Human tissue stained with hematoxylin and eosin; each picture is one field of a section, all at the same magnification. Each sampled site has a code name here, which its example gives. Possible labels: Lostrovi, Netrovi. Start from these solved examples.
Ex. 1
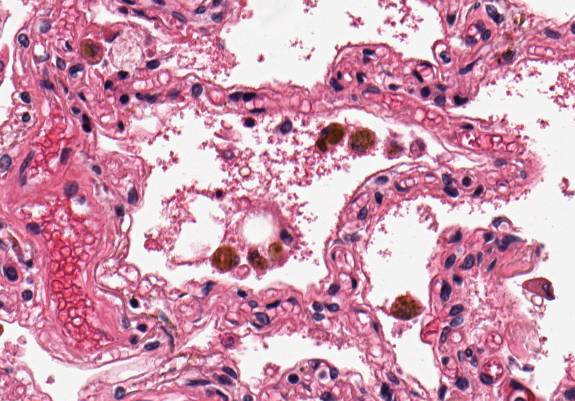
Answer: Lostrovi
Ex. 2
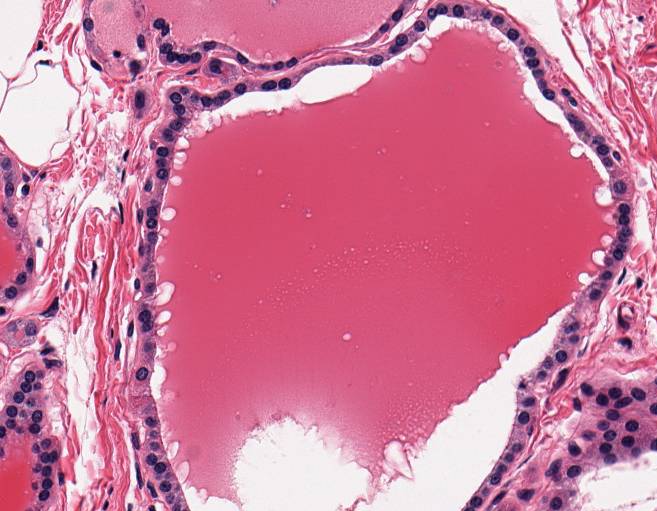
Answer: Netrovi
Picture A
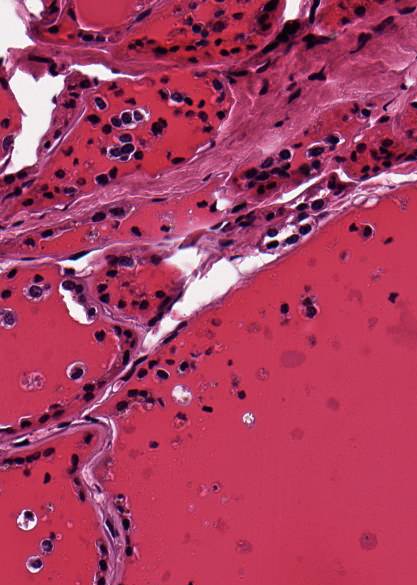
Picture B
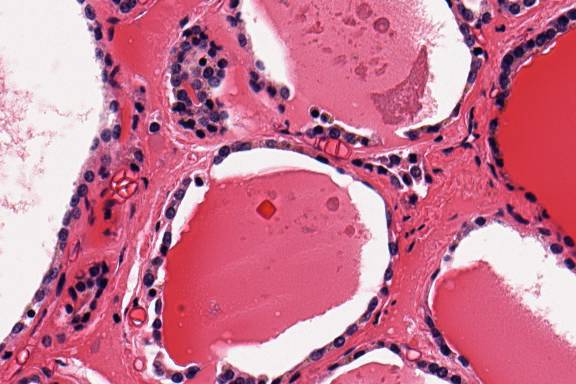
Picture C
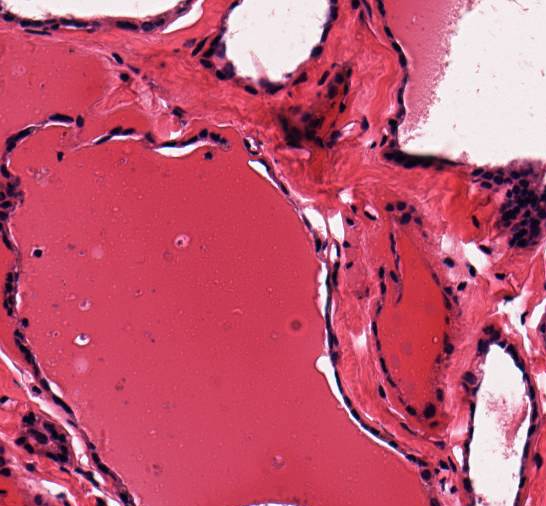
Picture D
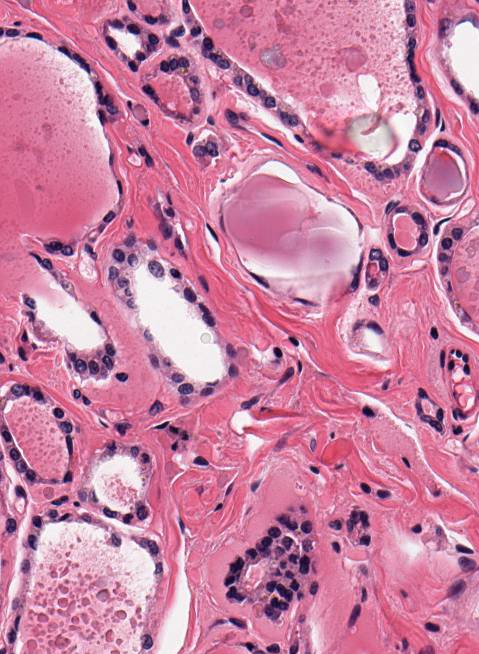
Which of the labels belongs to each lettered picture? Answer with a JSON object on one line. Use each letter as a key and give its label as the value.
{"A": "Netrovi", "B": "Netrovi", "C": "Netrovi", "D": "Netrovi"}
